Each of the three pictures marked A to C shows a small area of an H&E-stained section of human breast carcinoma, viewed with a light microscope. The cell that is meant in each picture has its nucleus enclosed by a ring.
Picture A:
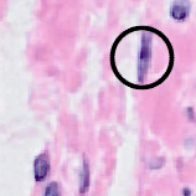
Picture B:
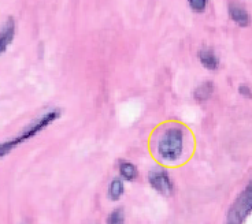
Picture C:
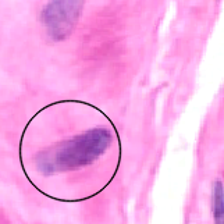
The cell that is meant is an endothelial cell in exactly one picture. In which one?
B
